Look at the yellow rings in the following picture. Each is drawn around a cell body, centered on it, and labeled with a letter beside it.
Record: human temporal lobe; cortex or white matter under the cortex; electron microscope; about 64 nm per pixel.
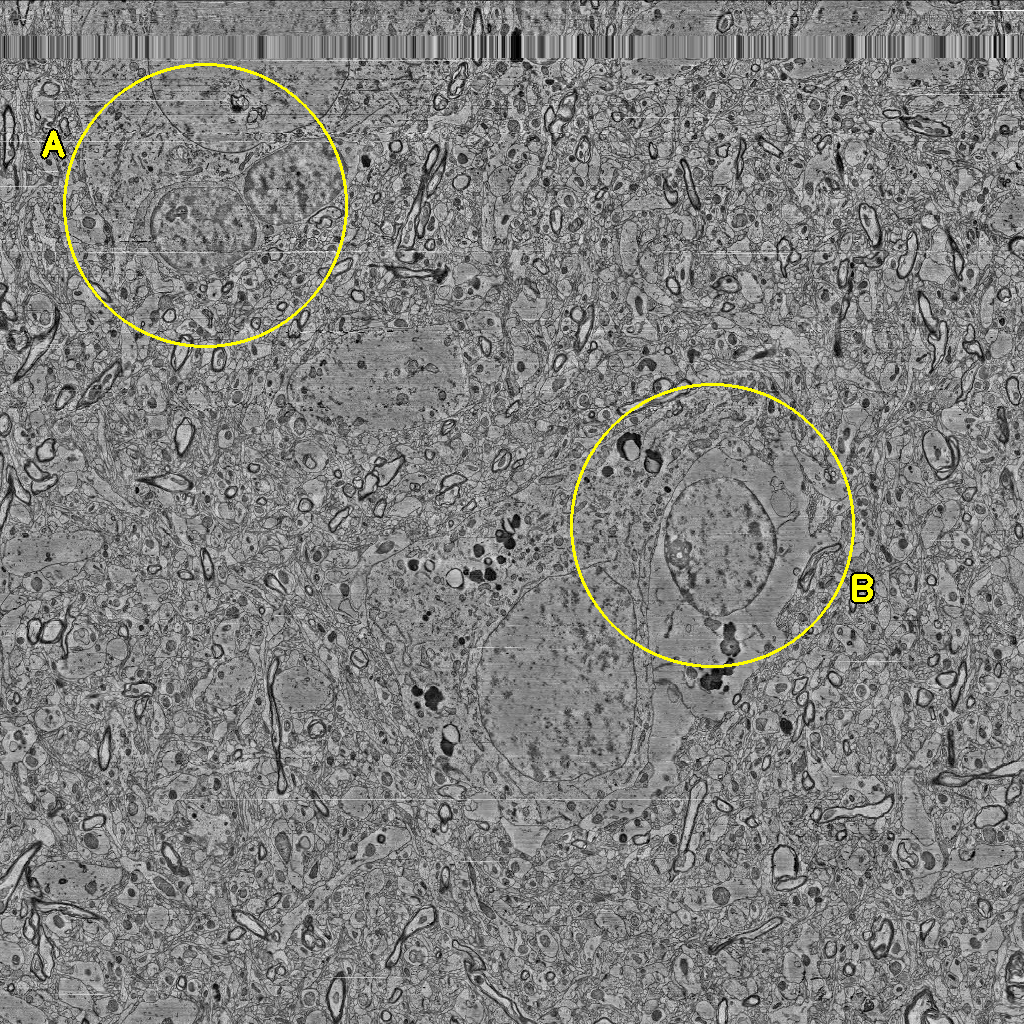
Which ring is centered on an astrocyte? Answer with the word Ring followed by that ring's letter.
Ring B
